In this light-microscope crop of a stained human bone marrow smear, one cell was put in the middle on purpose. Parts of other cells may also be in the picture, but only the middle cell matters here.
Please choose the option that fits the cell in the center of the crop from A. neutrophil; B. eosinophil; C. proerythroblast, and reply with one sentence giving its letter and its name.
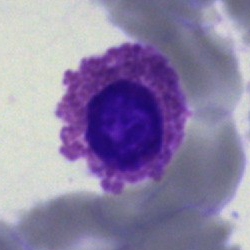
Option B is the correct one; it names the central cell as an eosinophil.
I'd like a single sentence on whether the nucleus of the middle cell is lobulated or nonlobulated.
Please observe that the nucleus consists of one compact round, oval or kidney-shaped mass.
